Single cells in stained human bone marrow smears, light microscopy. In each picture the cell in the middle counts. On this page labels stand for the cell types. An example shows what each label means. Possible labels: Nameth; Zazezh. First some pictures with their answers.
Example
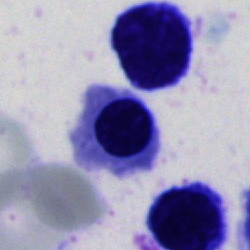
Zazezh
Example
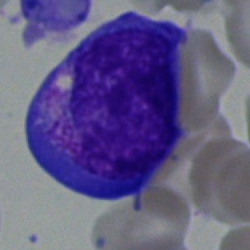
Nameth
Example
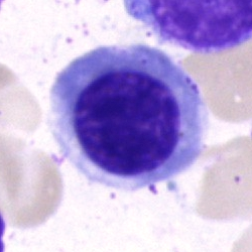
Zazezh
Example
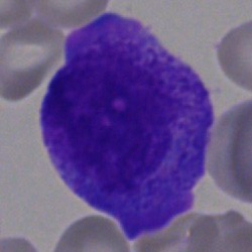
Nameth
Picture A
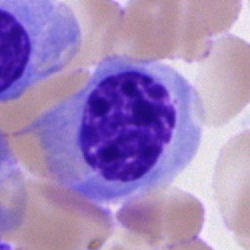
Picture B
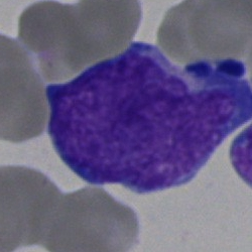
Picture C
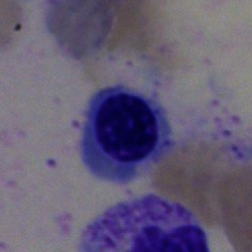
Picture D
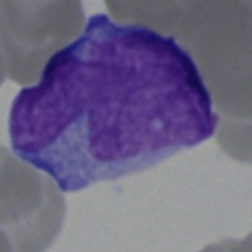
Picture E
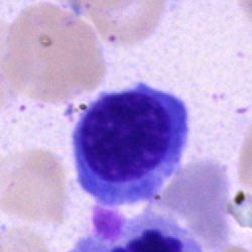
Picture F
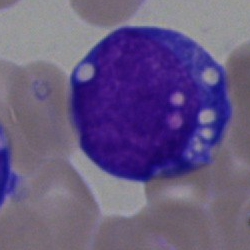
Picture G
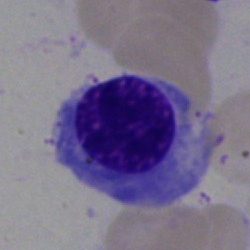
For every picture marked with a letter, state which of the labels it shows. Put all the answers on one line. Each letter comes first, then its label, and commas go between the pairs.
A Zazezh, B Nameth, C Zazezh, D Nameth, E Zazezh, F Nameth, G Zazezh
